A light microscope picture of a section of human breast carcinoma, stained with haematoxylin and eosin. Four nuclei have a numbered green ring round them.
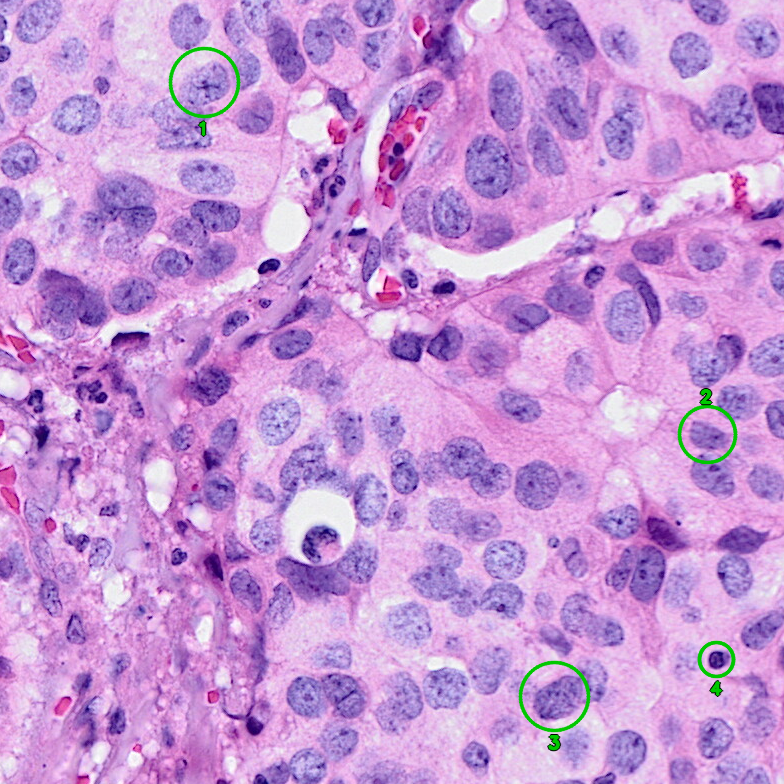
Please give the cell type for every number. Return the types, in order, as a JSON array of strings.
["carcinoma cell", "carcinoma cell", "carcinoma cell", "lymphocyte"]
